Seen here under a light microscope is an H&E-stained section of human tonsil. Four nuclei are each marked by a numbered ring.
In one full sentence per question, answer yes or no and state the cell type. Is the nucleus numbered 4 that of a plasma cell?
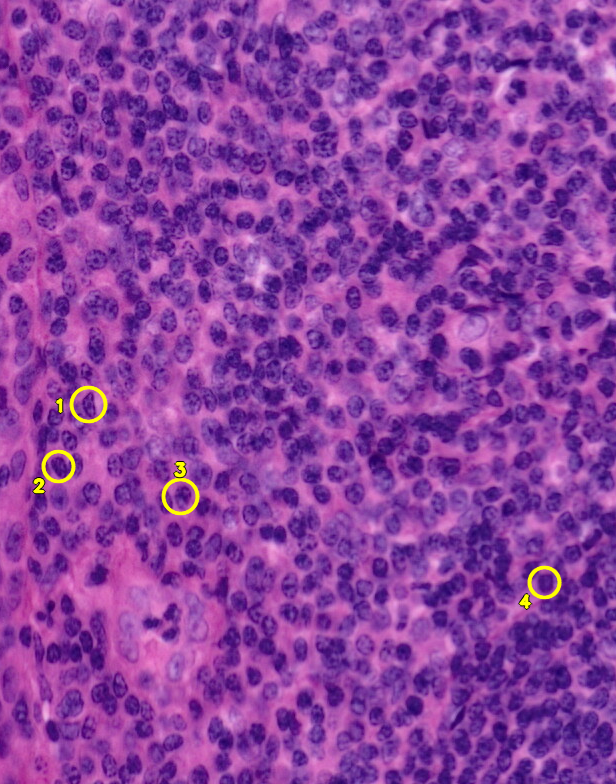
No; cell 4 is a small lymphocyte, not a plasma cell.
